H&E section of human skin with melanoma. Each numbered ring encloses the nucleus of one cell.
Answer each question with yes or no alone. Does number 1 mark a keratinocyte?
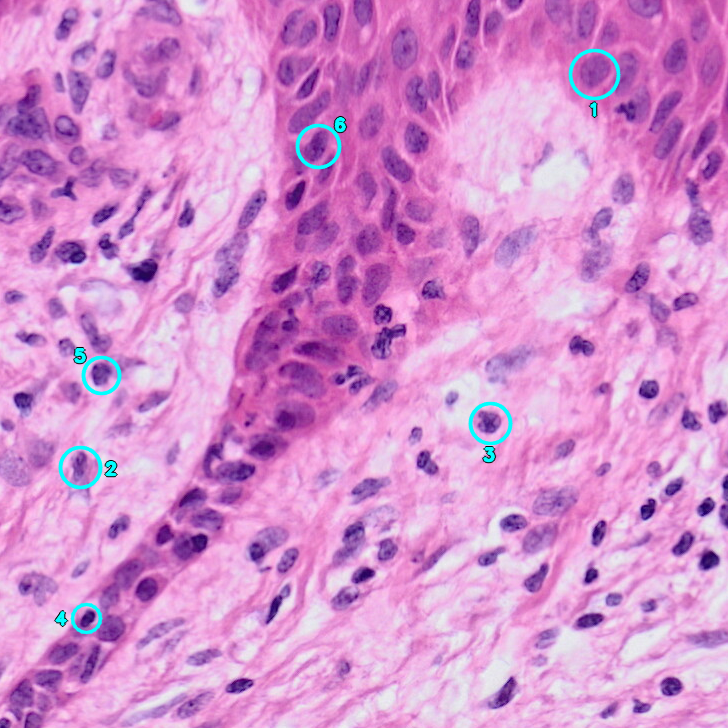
yes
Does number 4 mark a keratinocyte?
no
